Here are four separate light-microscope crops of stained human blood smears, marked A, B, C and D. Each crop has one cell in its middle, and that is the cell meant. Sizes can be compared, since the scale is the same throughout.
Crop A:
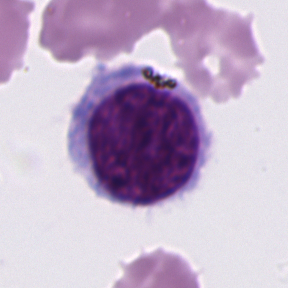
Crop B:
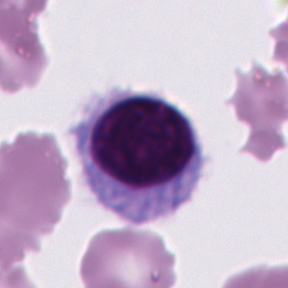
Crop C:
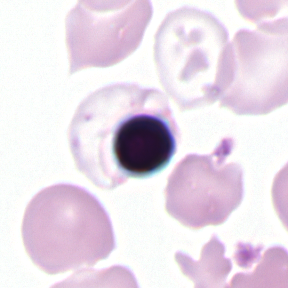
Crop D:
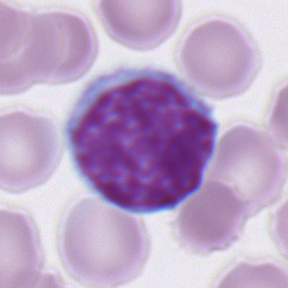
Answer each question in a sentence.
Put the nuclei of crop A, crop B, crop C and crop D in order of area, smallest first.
Smallest first: C, B, A, D.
